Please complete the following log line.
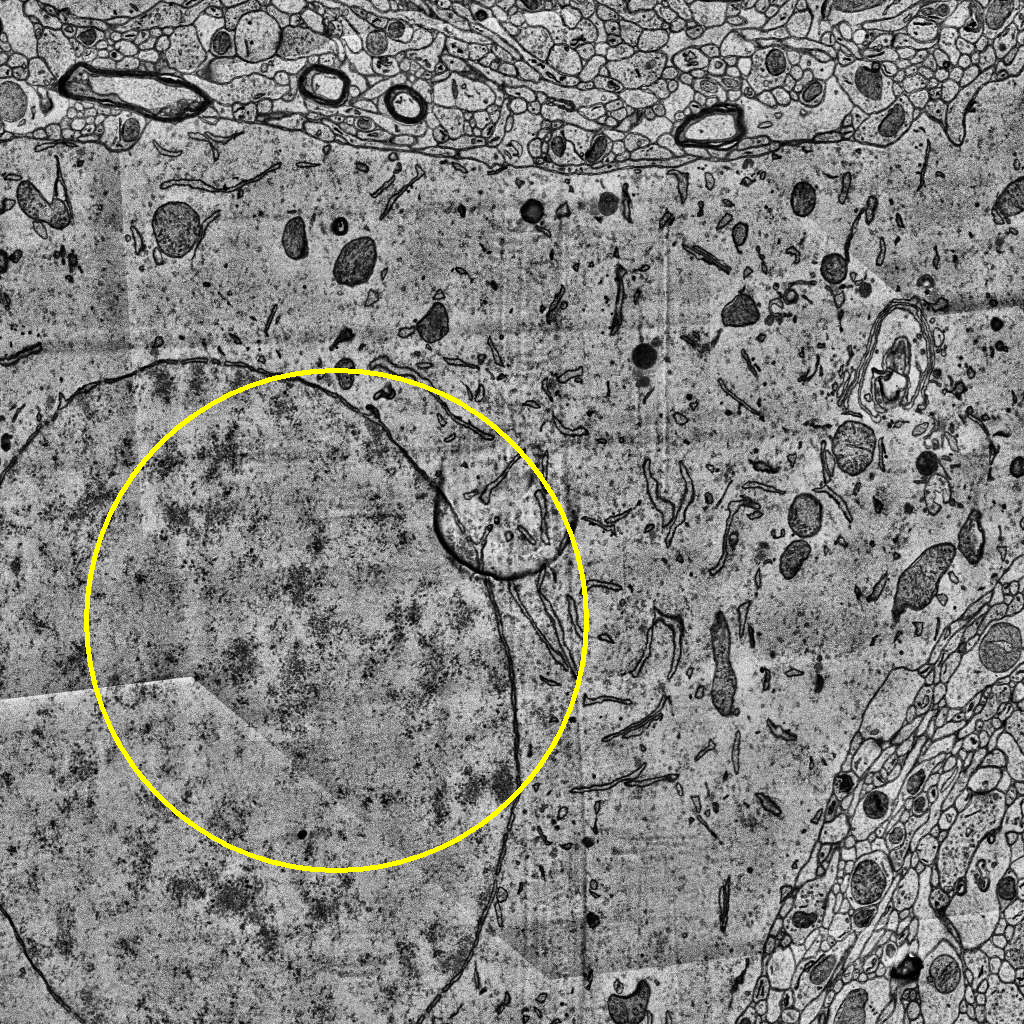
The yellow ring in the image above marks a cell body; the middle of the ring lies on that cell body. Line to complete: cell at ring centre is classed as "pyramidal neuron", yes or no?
yes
